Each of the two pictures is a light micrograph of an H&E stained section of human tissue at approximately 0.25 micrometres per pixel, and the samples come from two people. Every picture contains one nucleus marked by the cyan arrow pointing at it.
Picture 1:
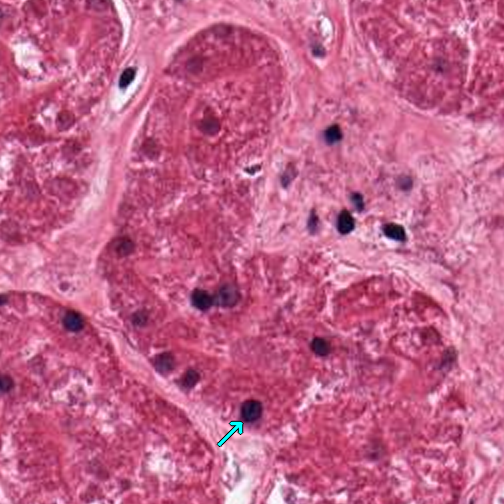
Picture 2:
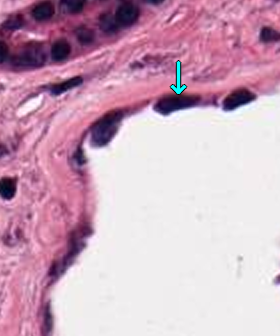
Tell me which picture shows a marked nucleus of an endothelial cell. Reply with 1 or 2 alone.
2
